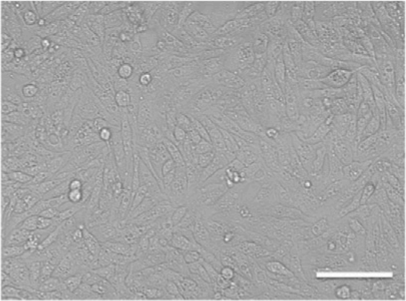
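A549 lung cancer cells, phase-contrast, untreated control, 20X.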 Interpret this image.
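Most cells are flattened and spread, elongated to spindle-shaped or polygonal, with thin, pale cytoplasm. Their borders abut one another and run roughly parallel in places, so that individual outlines are faint. Oval nuclei show only dimly within the flat cells. Scattered among the spread cells are a few small, rounded, bright-rimmed cells lying on top of the monolayer. Little free debris is present and hardly any bare dish surface shows between cells.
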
